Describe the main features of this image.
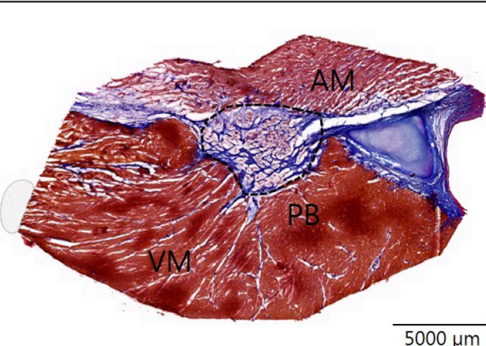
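This low-power section shows red-stained myocytes of the atrial layer on top and the ventricular muscle below, with blue fibrous tissue between them. In the middle an outlined roundish region of loosely arranged muscle strands is wrapped and subdivided by blue fibrous tissue, sitting within the fibrous band next to a pale blue triangular fibrous body. Blue septa radiate from this fibrous zone down between the ventricular muscle bundles.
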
